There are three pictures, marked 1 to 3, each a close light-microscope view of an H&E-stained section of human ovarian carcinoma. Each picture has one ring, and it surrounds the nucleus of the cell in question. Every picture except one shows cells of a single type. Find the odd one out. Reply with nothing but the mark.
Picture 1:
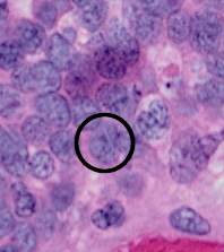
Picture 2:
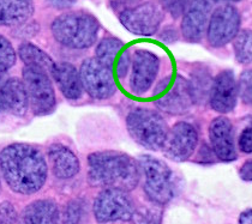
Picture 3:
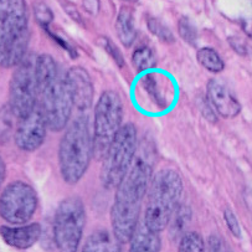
3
